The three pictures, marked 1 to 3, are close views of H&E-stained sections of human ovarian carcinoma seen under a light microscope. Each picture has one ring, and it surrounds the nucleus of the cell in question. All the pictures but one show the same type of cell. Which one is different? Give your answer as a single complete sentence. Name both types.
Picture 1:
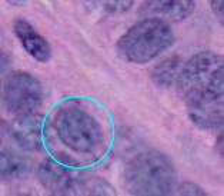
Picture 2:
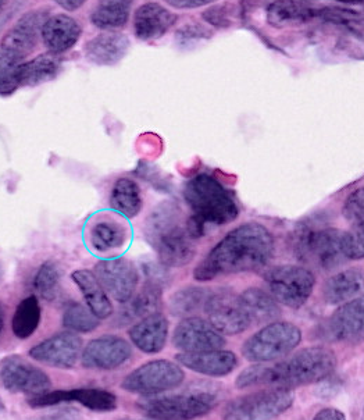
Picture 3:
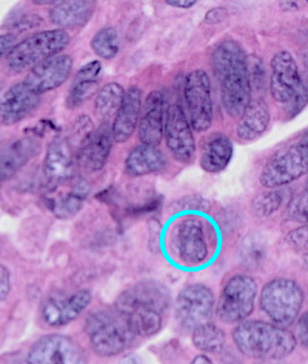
Picture 2 differs, because its cell is a “macrophage or monocyte” and the rest are carcinoma cells.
